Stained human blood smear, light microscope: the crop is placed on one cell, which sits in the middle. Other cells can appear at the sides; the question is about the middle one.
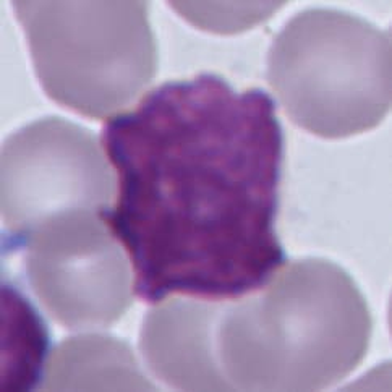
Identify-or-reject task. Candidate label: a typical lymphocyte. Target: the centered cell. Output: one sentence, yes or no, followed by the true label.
No, the centred cell is a smudge cell instead of a typical lymphocyte.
